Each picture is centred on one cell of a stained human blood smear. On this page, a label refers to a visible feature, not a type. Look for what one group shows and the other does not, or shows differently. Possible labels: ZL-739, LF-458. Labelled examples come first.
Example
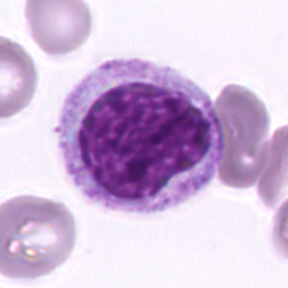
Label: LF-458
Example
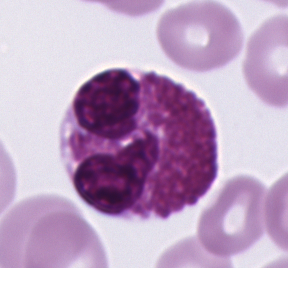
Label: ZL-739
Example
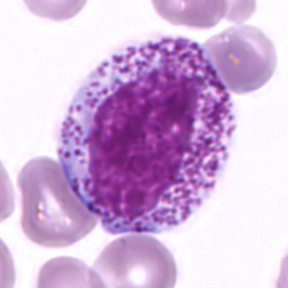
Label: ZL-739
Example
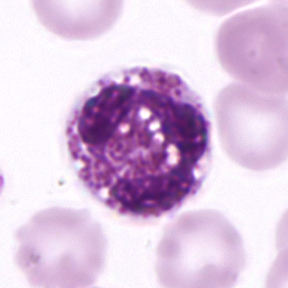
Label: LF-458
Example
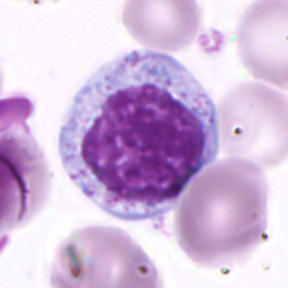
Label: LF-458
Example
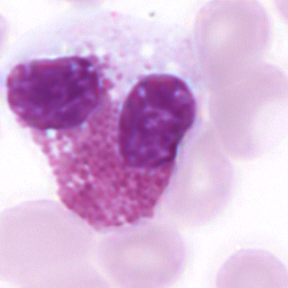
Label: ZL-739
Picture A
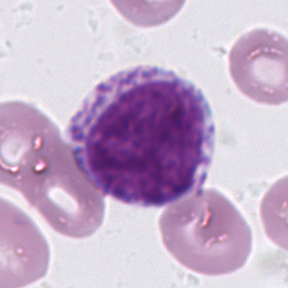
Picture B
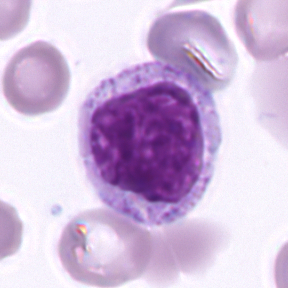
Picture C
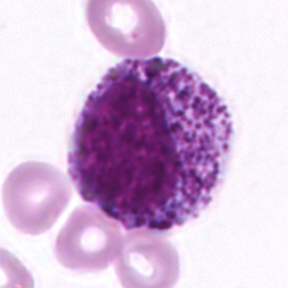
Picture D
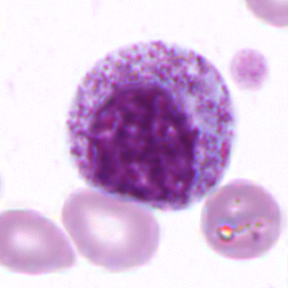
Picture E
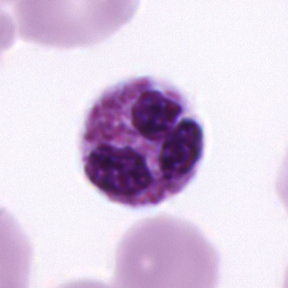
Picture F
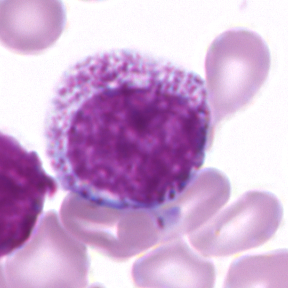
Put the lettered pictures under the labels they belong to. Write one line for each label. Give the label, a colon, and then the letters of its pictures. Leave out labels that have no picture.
ZL-739: A, C
LF-458: B, D, E, F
